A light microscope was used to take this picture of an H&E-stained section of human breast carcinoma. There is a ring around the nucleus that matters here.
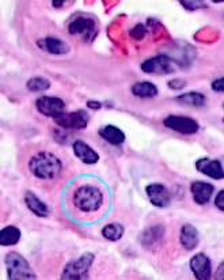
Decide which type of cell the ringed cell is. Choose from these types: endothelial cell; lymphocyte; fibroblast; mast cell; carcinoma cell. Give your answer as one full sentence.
By its classification, the ringed cell is a mast cell.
